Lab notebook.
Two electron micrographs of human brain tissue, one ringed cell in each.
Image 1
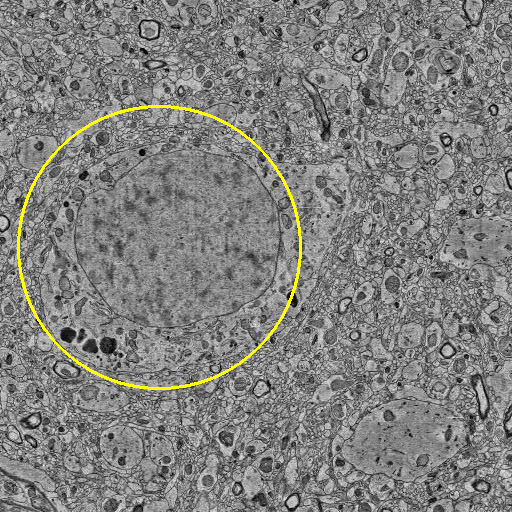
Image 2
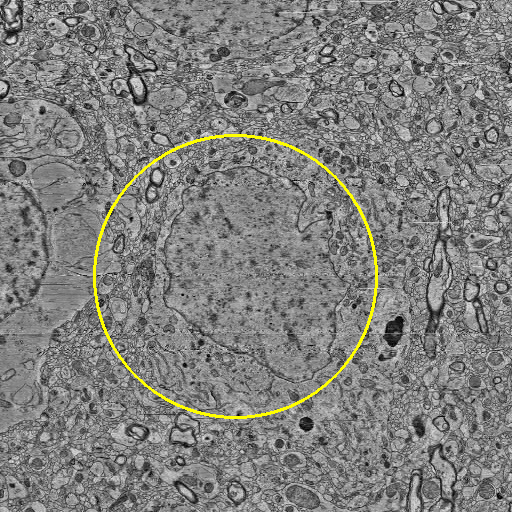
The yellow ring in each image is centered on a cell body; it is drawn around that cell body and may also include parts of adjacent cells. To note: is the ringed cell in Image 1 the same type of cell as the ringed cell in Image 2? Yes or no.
no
